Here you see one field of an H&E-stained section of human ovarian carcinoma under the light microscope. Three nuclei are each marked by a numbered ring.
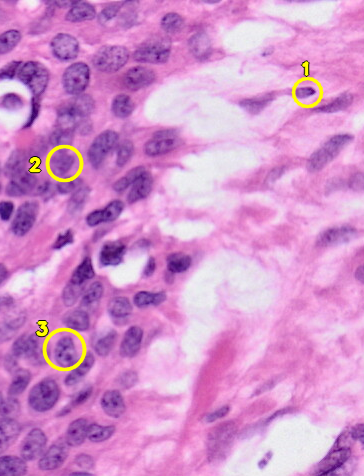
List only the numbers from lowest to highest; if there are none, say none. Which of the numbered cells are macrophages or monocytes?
3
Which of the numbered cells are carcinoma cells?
2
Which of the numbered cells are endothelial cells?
none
